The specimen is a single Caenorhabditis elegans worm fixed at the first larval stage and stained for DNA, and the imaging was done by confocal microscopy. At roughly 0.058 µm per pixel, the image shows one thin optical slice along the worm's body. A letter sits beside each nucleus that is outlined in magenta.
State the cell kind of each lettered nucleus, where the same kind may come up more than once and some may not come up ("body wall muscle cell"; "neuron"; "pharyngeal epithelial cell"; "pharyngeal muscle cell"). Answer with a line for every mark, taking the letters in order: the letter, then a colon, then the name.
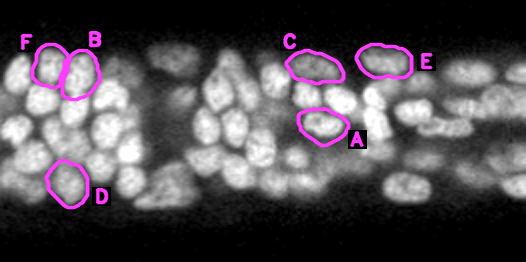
A: pharyngeal muscle cell
B: neuron
C: body wall muscle cell
D: neuron
E: body wall muscle cell
F: neuron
